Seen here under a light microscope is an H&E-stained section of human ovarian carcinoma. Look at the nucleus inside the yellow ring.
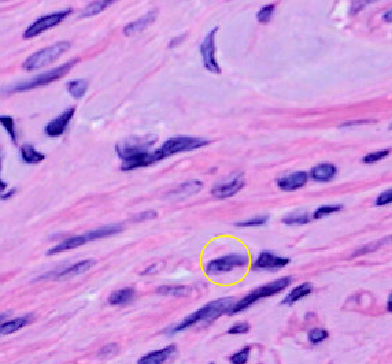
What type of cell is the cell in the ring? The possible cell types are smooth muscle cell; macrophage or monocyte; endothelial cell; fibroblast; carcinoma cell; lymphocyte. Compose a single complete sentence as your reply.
To be brief about it, the cell in the ring is a smooth muscle cell.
